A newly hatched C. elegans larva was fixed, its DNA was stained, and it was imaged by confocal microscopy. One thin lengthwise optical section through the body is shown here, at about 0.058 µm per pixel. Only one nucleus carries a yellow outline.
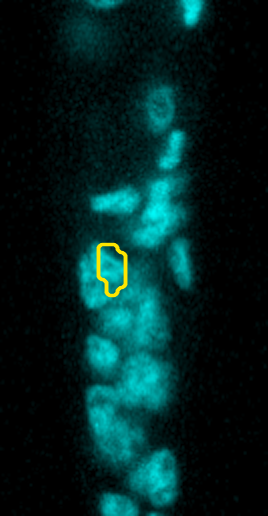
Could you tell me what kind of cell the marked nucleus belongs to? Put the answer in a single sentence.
The marked nucleus belongs to a rectal epithelial cell.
